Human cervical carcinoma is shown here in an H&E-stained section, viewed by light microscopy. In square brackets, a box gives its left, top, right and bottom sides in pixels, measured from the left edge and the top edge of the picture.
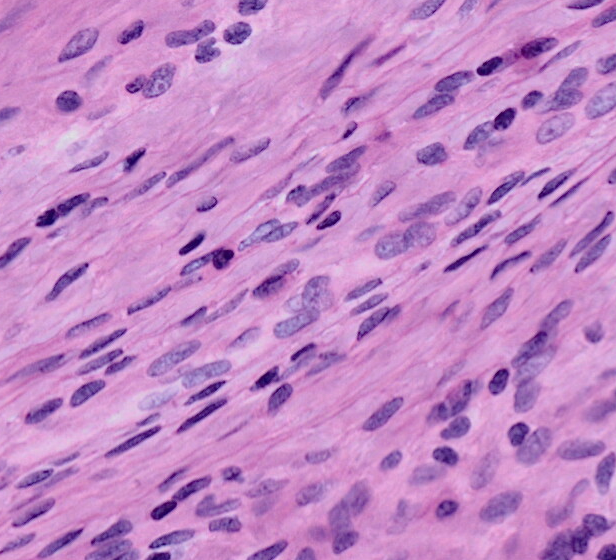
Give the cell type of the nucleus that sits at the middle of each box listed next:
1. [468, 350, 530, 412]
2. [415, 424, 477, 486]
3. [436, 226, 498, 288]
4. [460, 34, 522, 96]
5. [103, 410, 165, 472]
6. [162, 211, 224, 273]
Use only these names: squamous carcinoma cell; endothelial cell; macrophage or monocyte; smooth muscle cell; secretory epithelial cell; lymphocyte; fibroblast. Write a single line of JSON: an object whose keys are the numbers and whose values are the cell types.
{"1": "lymphocyte", "2": "lymphocyte", "3": "fibroblast", "4": "lymphocyte", "5": "fibroblast", "6": "lymphocyte"}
